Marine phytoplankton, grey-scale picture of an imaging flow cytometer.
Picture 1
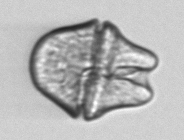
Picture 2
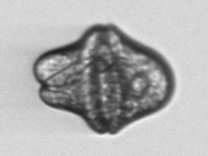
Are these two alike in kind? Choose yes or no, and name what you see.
Yes. Akashiwo.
